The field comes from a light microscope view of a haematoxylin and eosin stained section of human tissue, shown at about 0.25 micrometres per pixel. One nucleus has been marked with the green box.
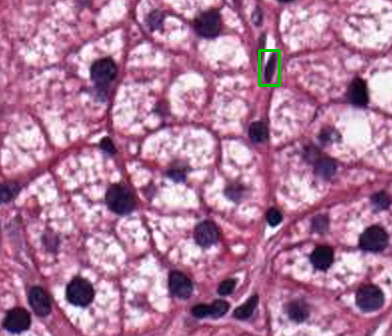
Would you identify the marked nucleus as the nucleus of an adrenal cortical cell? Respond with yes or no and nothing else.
no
